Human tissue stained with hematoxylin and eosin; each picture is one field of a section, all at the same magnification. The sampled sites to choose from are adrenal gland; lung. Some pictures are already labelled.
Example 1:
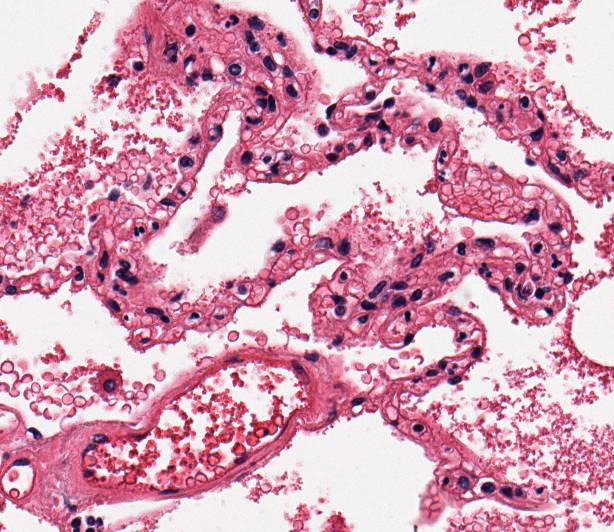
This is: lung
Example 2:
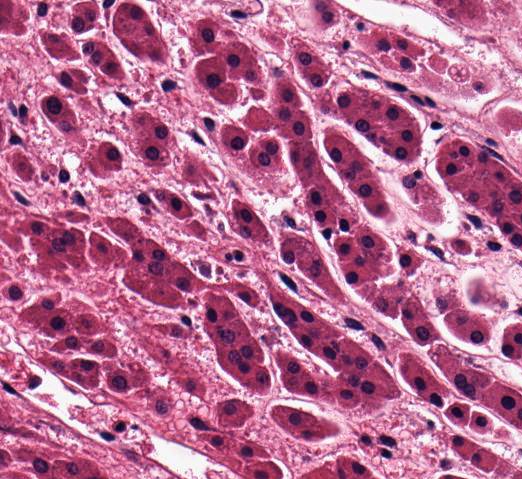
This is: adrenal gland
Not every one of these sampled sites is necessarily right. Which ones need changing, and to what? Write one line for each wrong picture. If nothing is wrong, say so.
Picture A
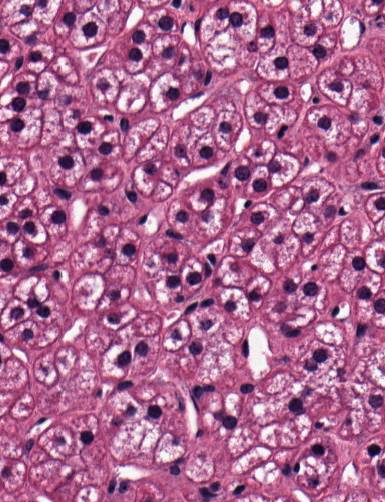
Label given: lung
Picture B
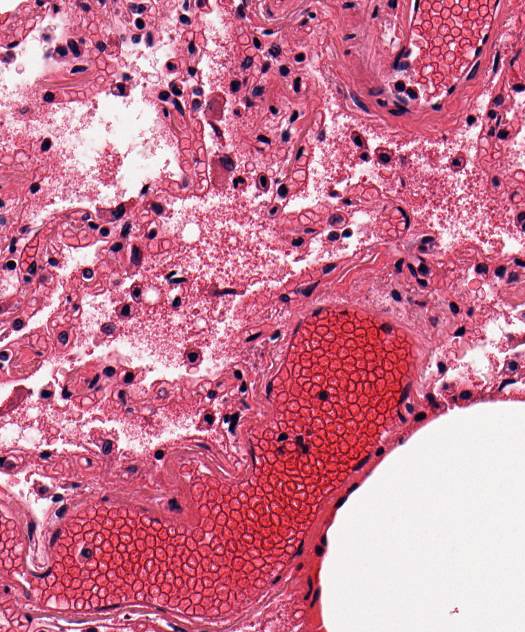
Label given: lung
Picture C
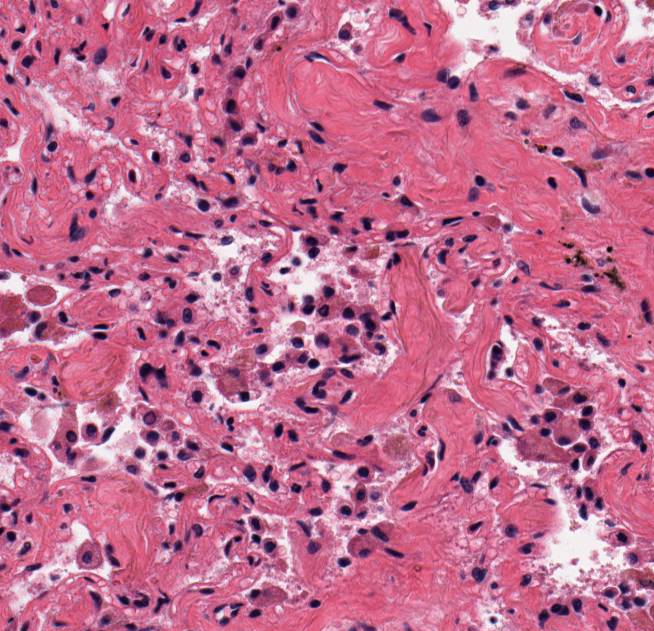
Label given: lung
A is labelled lung; correct label: adrenal gland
